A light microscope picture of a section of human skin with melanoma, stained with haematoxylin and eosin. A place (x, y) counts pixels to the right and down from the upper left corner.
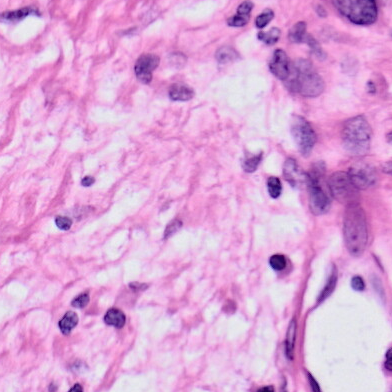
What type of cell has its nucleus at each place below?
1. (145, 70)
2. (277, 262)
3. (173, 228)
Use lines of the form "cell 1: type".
cell 1: macrophage or monocyte
cell 2: plasma cell
cell 3: fibroblast or myofibroblast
